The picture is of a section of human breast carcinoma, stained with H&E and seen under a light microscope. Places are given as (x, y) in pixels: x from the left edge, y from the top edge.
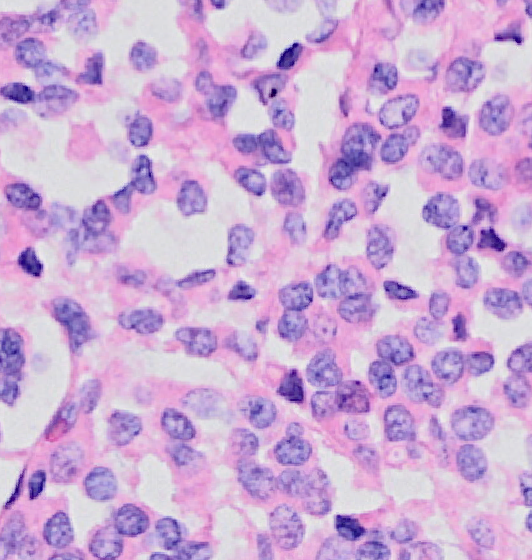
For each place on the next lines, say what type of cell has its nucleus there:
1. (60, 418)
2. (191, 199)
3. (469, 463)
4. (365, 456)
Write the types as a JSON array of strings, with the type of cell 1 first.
["endothelial cell", "carcinoma cell", "carcinoma cell", "carcinoma cell"]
